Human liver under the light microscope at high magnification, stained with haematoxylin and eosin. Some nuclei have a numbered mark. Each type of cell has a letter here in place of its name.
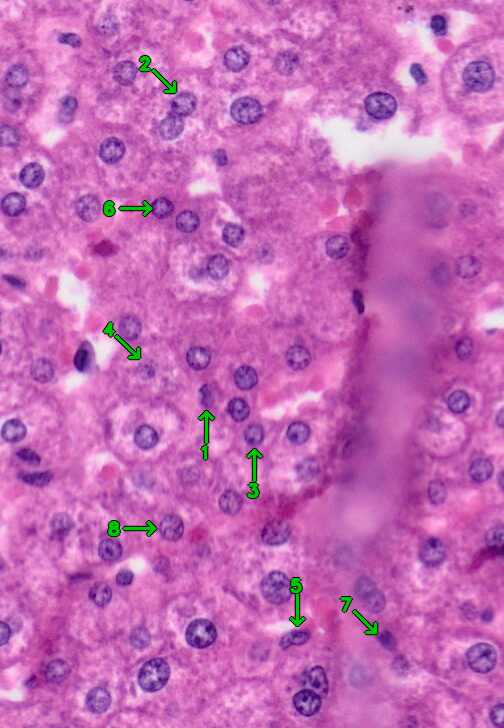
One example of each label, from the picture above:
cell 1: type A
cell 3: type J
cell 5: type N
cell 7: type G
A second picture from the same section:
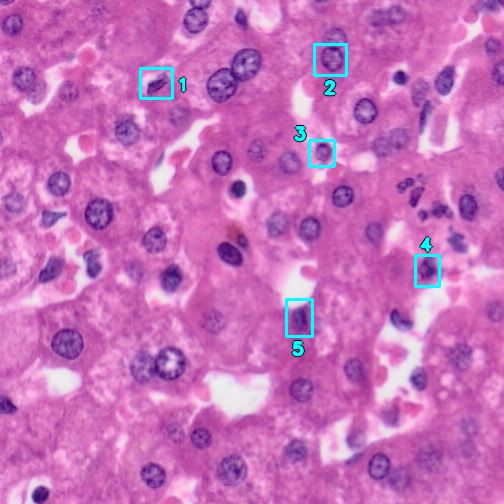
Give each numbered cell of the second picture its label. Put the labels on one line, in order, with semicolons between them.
type A; type J; type N; type G; type G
